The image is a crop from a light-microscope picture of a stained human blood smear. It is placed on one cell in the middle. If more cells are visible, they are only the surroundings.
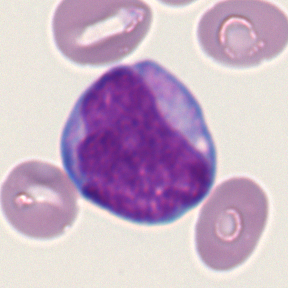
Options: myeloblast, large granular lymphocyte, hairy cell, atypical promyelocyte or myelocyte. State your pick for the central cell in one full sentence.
The cell in the exact centre of the crop is an atypical promyelocyte.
